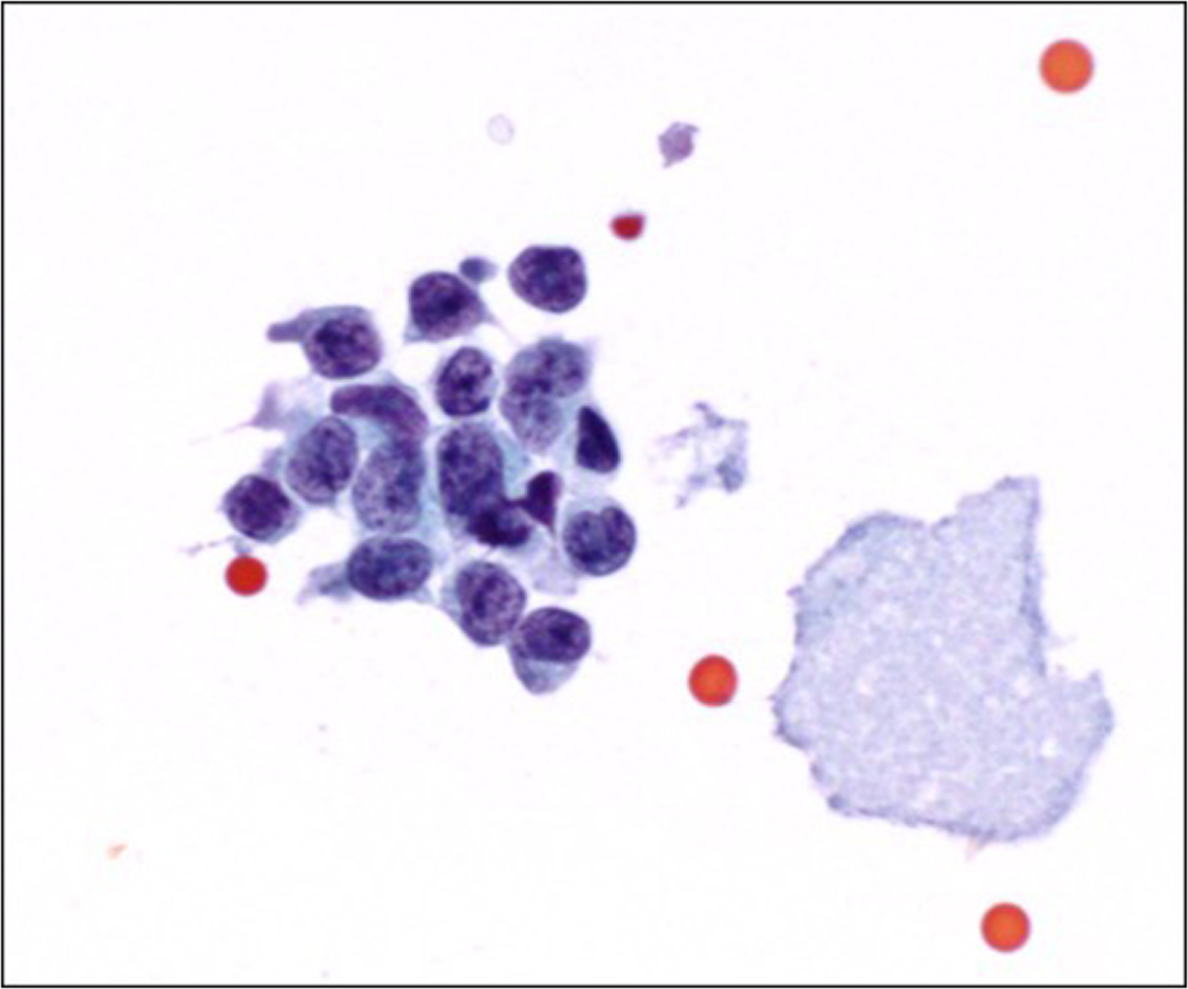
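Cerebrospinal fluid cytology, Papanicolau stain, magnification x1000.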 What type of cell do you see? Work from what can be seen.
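Tumour cells. A cohesive cluster of cells with large dark nuclei. The nuclei crowd and overlap within the cluster.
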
